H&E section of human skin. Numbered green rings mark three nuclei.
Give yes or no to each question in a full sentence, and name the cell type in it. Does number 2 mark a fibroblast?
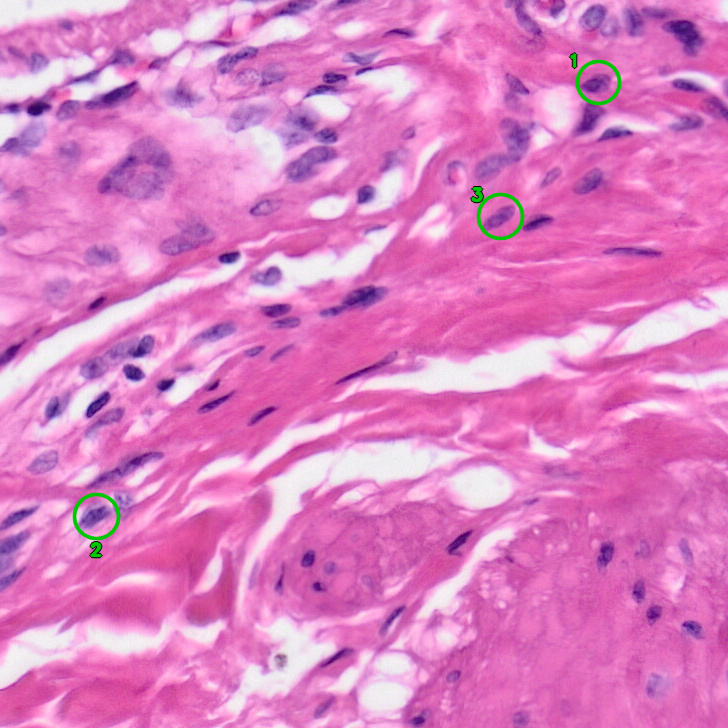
No, the cell tagged 2 is an endothelial cell, not a fibroblast.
